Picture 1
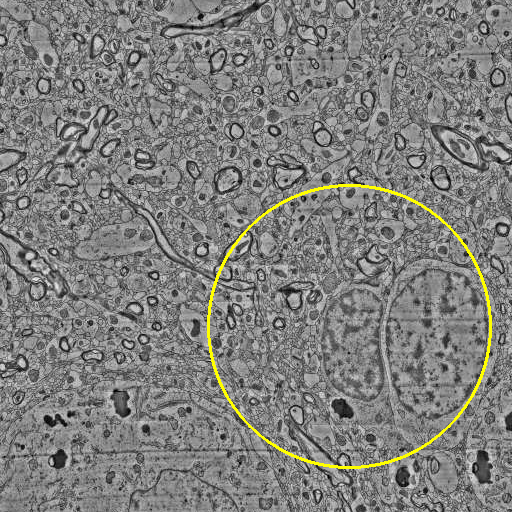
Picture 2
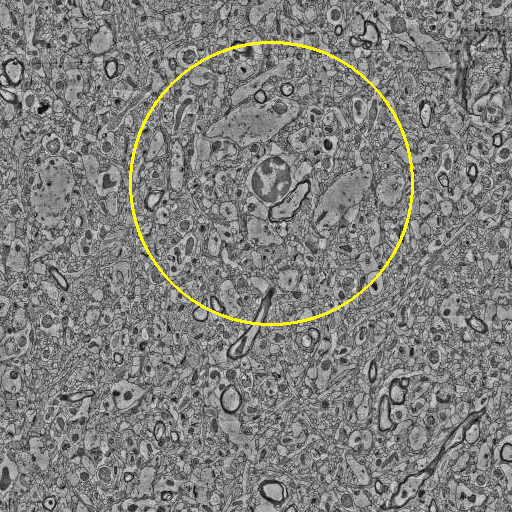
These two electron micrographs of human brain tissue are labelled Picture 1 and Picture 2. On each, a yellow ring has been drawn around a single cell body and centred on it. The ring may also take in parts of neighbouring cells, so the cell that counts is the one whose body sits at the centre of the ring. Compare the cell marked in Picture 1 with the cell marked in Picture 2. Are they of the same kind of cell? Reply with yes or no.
no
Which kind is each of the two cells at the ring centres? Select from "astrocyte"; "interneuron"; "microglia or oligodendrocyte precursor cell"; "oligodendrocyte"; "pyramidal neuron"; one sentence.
The cell at the centre of the ring is an oligodendrocyte in the first picture and a microglial cell or oligodendrocyte precursor cell in the second.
